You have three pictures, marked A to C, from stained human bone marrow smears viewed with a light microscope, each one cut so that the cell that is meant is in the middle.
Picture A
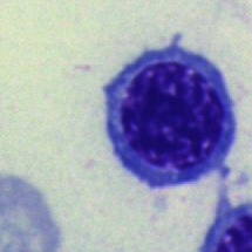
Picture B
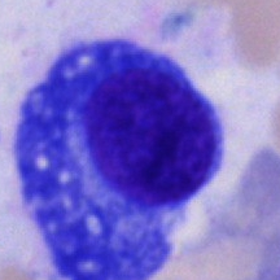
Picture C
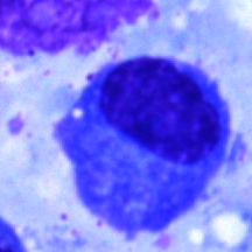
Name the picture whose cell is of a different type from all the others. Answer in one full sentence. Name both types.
Picture A is the odd one out: it shows an erythroblast, while the others show plasma cells.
